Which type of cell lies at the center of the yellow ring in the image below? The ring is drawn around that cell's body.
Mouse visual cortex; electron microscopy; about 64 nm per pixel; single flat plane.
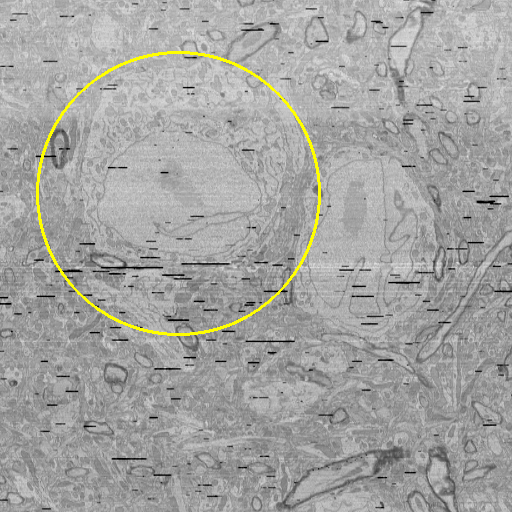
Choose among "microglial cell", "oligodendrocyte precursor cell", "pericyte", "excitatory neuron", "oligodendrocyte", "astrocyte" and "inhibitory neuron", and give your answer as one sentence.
The cell body at the center belongs to an inhibitory neuron.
